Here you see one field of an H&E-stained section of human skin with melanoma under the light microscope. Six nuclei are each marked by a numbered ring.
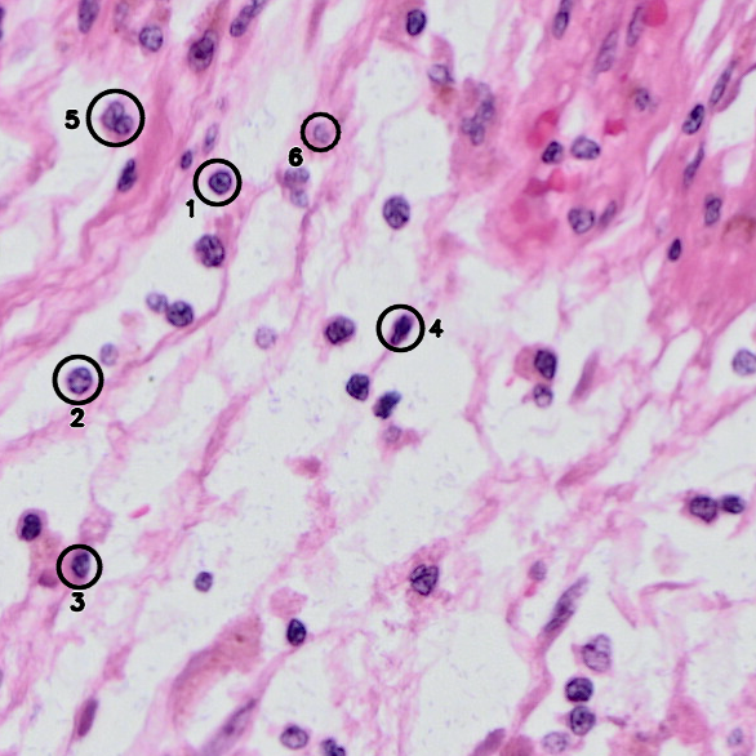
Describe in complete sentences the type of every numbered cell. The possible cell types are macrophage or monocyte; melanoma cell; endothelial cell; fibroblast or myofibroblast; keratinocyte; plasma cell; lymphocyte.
Cell 1 is a lymphocyte, cell 2 is a lymphocyte, cell 3 is a macrophage or monocyte, cell 4 is a lymphocyte, cell 5 is a macrophage or monocyte and cell 6 is a macrophage or monocyte.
